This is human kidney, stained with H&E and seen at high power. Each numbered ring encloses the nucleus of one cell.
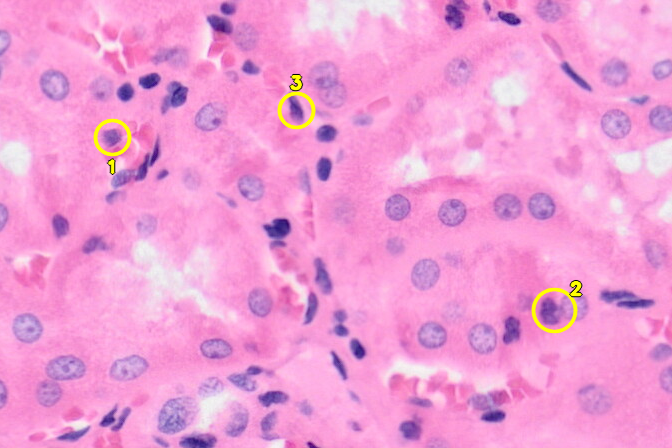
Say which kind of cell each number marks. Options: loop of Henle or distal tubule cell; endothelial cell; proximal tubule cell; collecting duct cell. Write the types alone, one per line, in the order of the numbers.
endothelial cell
proximal tubule cell
endothelial cell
